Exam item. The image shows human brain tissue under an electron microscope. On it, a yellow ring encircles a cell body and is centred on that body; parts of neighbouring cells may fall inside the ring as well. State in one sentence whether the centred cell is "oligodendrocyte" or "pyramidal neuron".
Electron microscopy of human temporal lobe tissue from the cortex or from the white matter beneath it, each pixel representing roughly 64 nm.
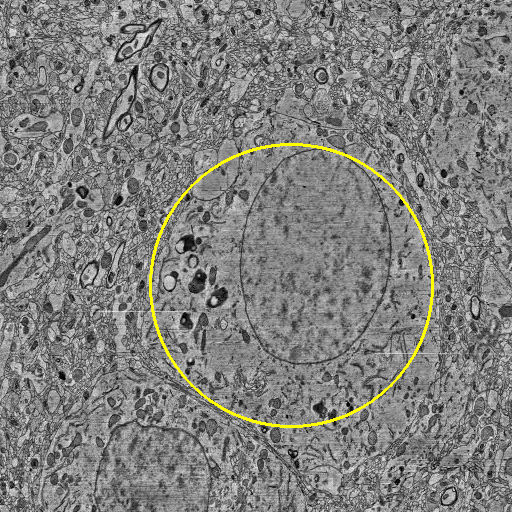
The cell body centred in the ring is a pyramidal neuron.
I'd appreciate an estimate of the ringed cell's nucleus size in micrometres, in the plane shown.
The nucleus has a long axis of about 14 micrometres and a short axis of about 10 micrometres in this plane.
